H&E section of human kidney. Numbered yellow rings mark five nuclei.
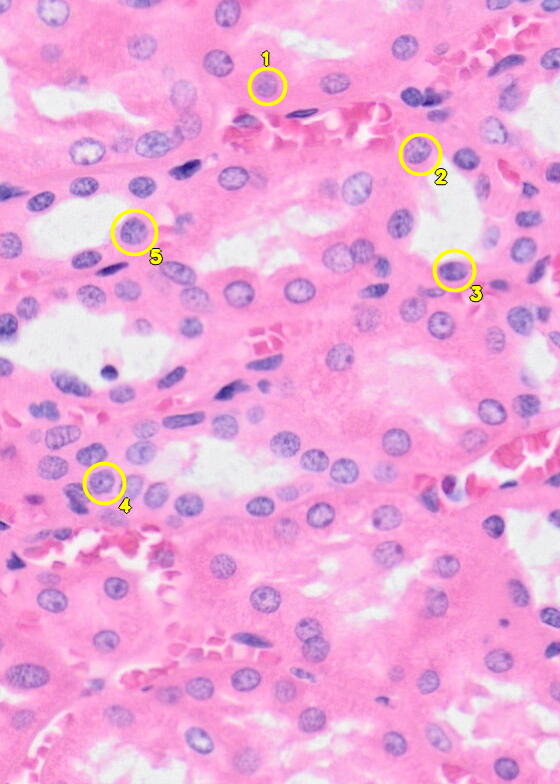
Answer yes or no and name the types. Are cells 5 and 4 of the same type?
Yes, that cells 5 and 4 are both collecting duct cells holds true.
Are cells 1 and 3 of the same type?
No, the cell bearing number 1 is a proximal tubule cell, while the one bearing number 3 is a loop of Henle or distal tubule cell.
